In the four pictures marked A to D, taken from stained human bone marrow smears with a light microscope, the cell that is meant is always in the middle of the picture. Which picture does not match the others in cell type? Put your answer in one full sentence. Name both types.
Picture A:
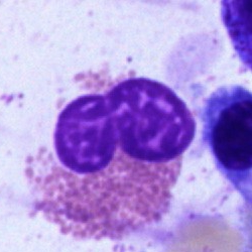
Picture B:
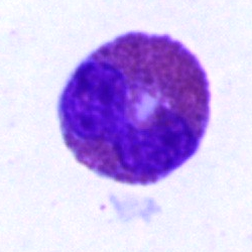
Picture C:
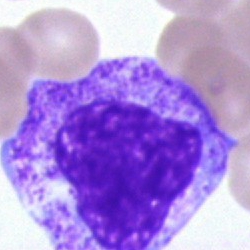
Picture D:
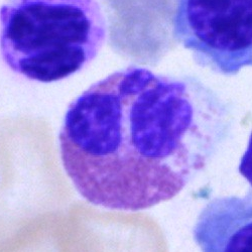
Picture C is the odd one out: it shows a myelocyte, while the others show eosinophils.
